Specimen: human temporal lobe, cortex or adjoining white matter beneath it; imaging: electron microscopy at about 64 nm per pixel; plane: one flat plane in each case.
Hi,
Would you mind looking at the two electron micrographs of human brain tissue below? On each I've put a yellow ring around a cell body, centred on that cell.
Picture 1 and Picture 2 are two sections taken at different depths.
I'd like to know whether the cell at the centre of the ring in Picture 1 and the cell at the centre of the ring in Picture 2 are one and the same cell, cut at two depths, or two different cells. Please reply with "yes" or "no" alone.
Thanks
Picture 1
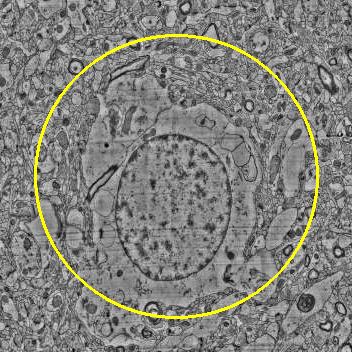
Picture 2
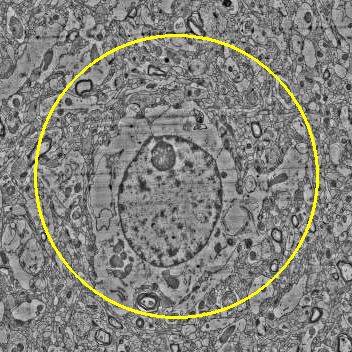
yes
